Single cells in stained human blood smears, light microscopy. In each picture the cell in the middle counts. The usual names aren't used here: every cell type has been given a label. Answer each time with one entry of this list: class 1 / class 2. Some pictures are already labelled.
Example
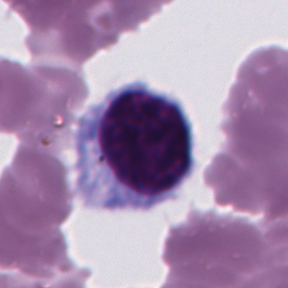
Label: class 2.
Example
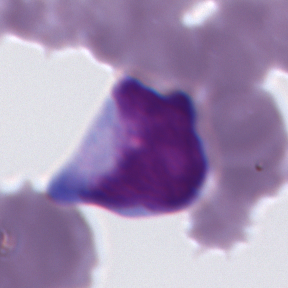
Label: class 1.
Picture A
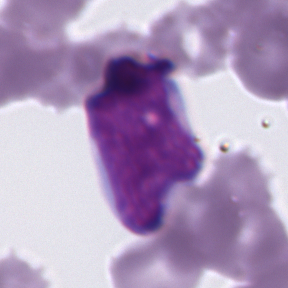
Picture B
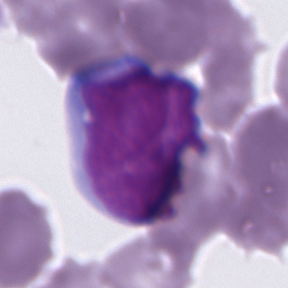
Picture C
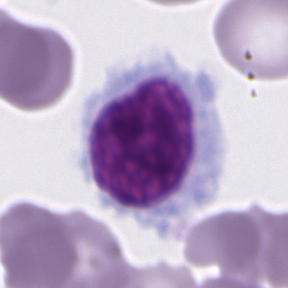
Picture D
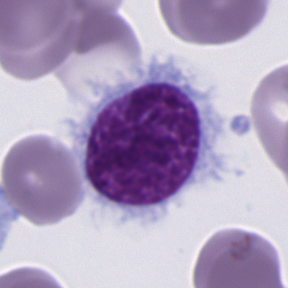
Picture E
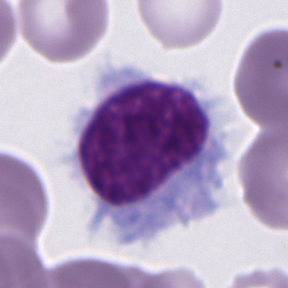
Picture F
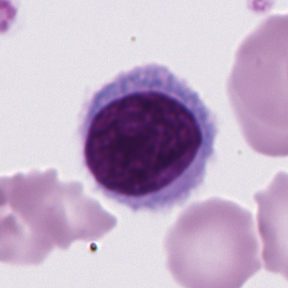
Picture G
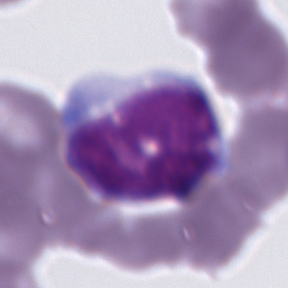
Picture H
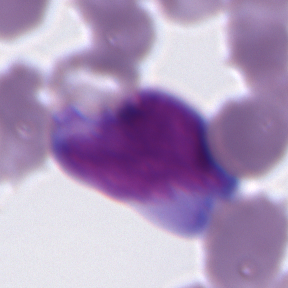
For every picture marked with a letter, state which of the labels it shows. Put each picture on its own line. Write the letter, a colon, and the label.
A: class 1.
B: class 1.
C: class 2.
D: class 2.
E: class 2.
F: class 2.
G: class 1.
H: class 1.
